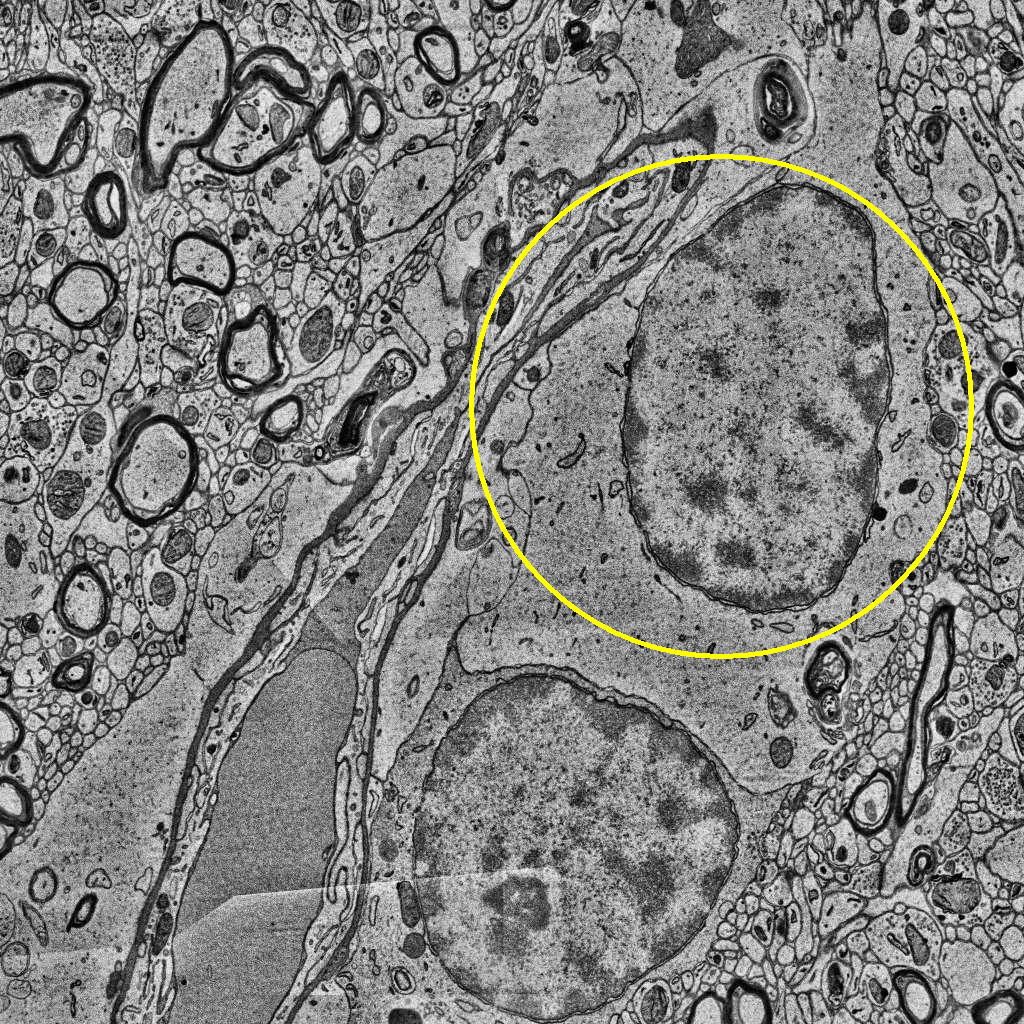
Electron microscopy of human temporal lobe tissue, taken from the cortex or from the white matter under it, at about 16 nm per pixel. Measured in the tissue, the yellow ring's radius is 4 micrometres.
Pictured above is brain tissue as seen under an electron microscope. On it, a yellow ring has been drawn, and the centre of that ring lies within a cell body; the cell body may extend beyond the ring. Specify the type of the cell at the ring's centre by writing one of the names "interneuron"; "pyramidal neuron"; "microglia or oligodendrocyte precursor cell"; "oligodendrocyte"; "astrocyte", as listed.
microglia or oligodendrocyte precursor cell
